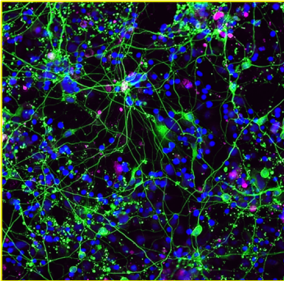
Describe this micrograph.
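This is a culture of neurons seen in fluorescence, with small cell bodies sending out long, thin green processes that criss-cross the field as a dense network. Round blue nuclei lie scattered throughout, and a few cells carry magenta staining in their bodies.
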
